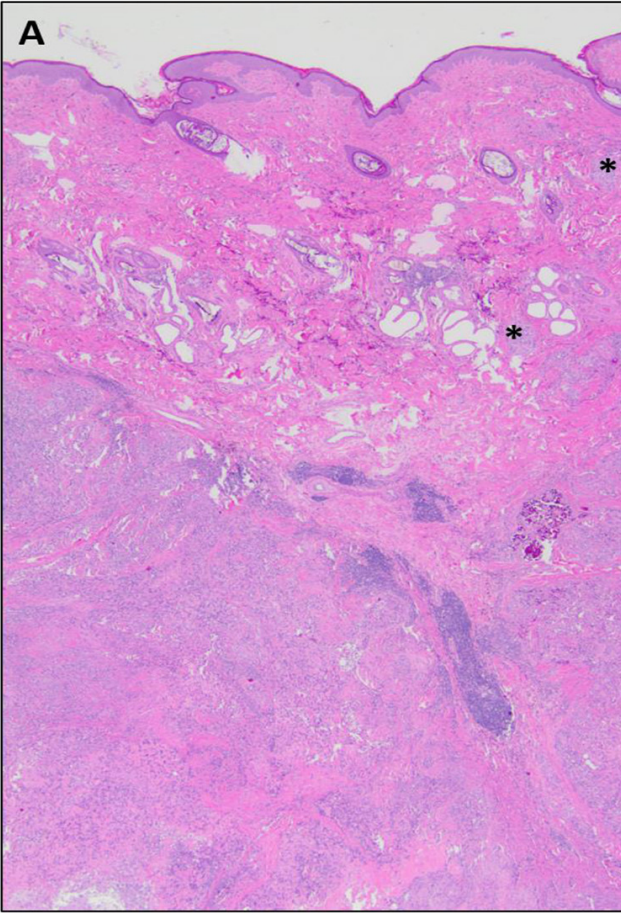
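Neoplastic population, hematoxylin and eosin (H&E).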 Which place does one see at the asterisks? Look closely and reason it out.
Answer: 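Mid to superficial dermis. Epidermis lines the top edge with hair follicles beneath it. Asterisks lie in the upper dermis above a large dense basophilic mass in the deep part.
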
